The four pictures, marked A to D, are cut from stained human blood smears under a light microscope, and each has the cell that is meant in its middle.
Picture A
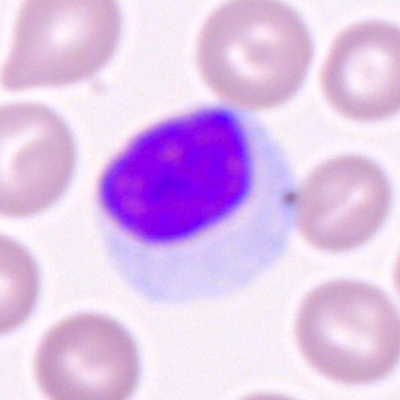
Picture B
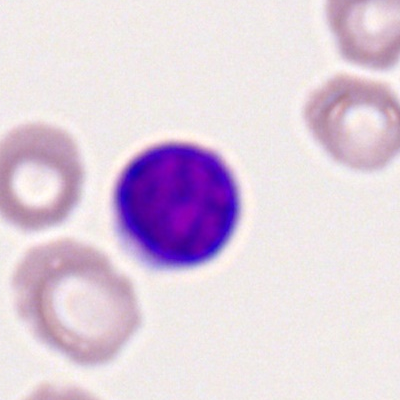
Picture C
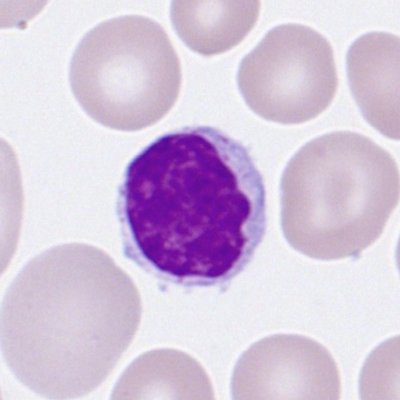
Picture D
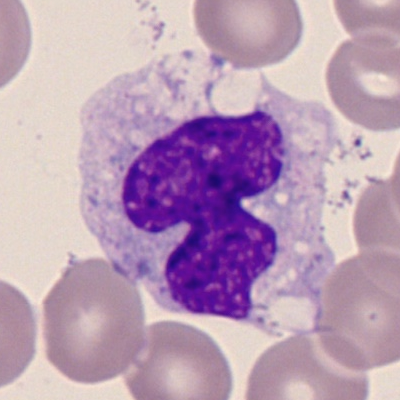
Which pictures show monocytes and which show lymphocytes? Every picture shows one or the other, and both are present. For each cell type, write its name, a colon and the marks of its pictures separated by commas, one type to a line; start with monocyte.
monocyte: D
lymphocyte: A, B, C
